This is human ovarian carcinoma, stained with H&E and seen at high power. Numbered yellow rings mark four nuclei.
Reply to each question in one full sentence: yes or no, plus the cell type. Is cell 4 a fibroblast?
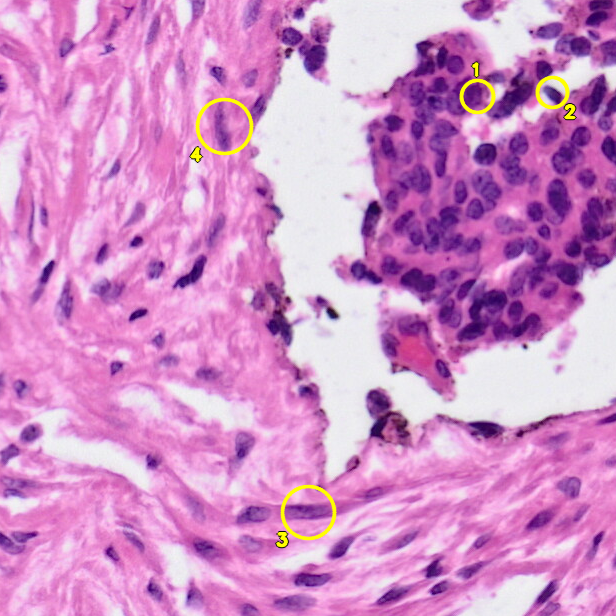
Yes, the cell with its nucleus marked 4 is a fibroblast.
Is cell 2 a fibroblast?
No, cell number 2 is identified as a carcinoma cell, not as a fibroblast.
